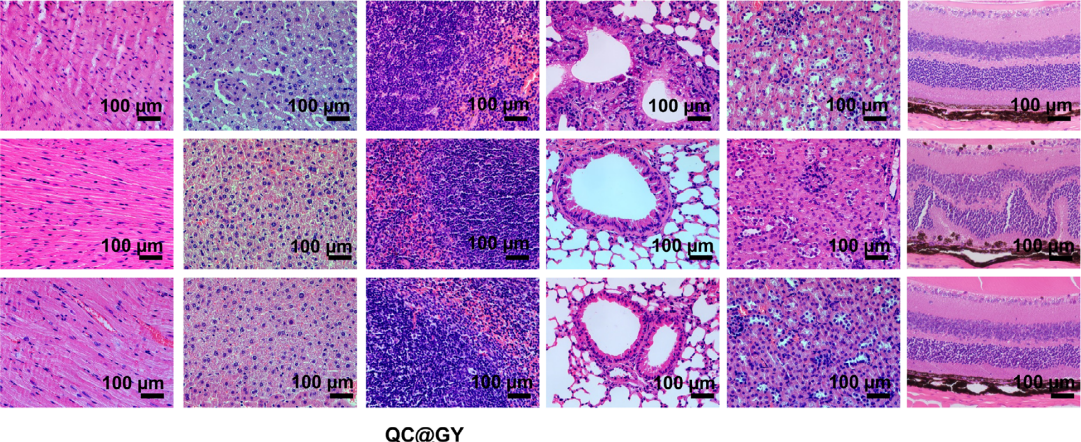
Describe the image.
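In the heart, pink muscle fibres run in parallel bundles with slender, elongated nuclei between them. The liver shows sheets of polygonal cells with round, blue-purple nuclei separated by narrow pale spaces, and the spleen is densely packed with small, dark-staining nuclei. The lung shows thin-walled air spaces around larger airways lined by a cuboidal to columnar layer. The kidney shows closely set tubules with pink cytoplasm and occasional rounded glomeruli. The retina shows stacked layers of densely packed blue nuclei with a dark pigmented band at its outer edge; in the middle row these layers are wavy and folded rather than flat.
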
